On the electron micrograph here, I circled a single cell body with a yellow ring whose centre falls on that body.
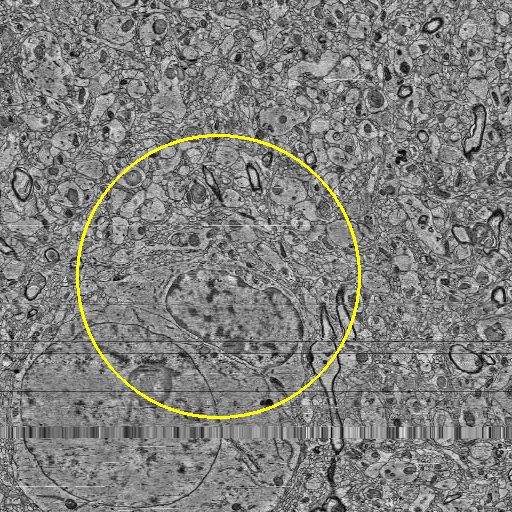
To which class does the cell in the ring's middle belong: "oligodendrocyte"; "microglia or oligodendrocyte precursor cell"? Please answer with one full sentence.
In this picture, the cell body circled at the ring's centre belongs to a microglial cell or oligodendrocyte precursor cell.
